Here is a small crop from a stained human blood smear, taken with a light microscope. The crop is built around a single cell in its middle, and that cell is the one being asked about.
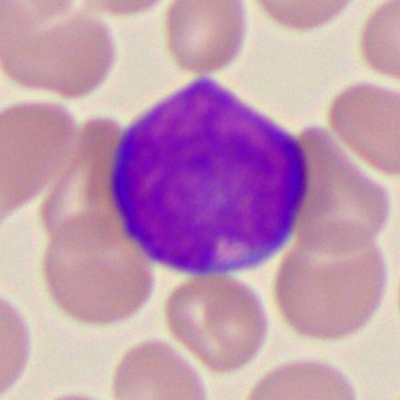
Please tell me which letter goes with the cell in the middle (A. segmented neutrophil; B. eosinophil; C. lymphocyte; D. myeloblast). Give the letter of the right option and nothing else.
D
